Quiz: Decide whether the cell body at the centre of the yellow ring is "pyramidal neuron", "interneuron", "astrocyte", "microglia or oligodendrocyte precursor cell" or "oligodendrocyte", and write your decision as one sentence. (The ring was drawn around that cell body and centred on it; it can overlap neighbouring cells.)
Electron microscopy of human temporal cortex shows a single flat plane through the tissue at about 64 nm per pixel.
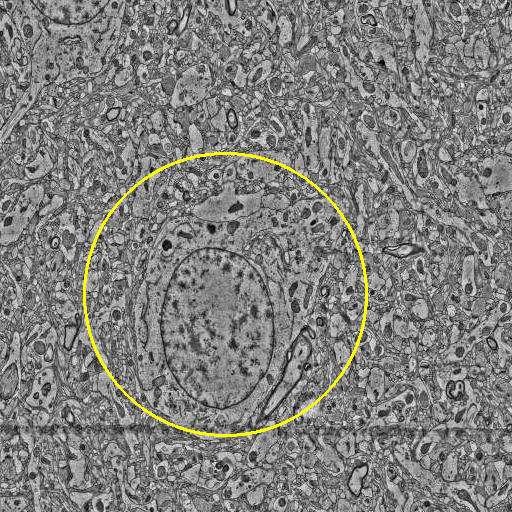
The cell the ring is centred on is a pyramidal neuron.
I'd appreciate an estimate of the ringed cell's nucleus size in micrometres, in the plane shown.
In this plane the nucleus measures roughly 10 by 7 micrometres.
